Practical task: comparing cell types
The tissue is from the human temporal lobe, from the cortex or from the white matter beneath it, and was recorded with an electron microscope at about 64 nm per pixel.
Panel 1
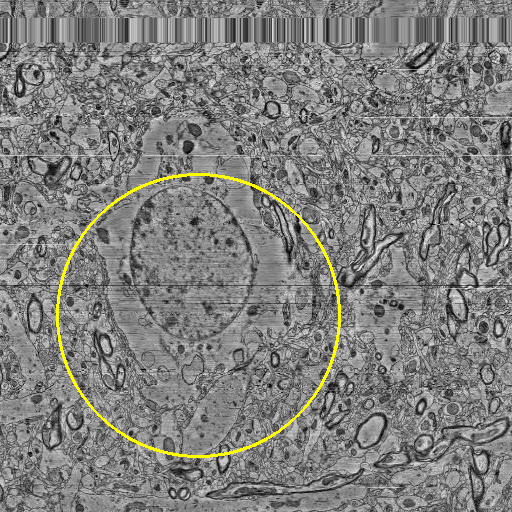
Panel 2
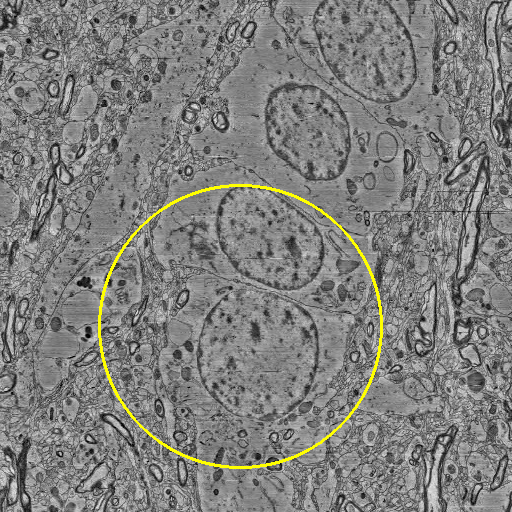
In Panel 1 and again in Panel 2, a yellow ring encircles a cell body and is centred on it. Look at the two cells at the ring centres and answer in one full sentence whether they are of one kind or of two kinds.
The two cells sitting at the ring centres of Panels 1 and 2 are of one kind.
